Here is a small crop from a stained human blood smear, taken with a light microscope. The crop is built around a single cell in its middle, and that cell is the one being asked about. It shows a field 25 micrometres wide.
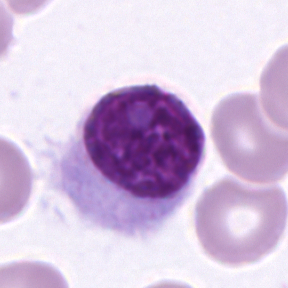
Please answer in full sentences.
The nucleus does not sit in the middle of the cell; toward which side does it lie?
The nucleus is pushed toward the upper right of the cell.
